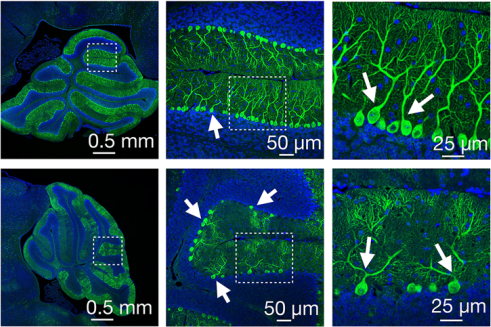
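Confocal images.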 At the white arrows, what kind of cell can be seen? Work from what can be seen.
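Purkinje cells. The arrows point to large green cell bodies in a single row. The cells sit next to the densely packed blue nuclei of the inner layer.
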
